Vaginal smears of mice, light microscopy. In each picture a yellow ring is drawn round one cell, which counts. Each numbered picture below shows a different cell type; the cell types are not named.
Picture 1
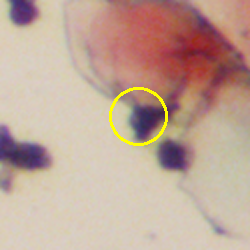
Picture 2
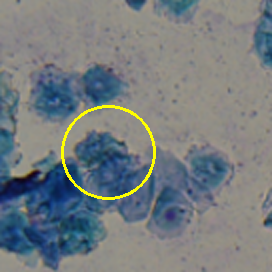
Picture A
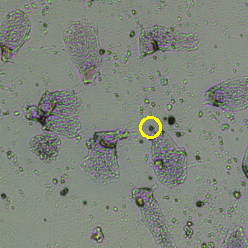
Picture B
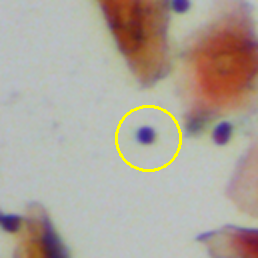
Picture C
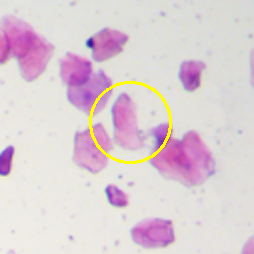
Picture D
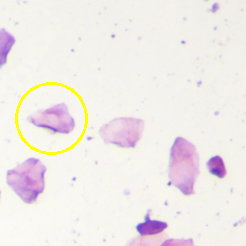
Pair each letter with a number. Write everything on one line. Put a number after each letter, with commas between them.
A 1, B 1, C 2, D 2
